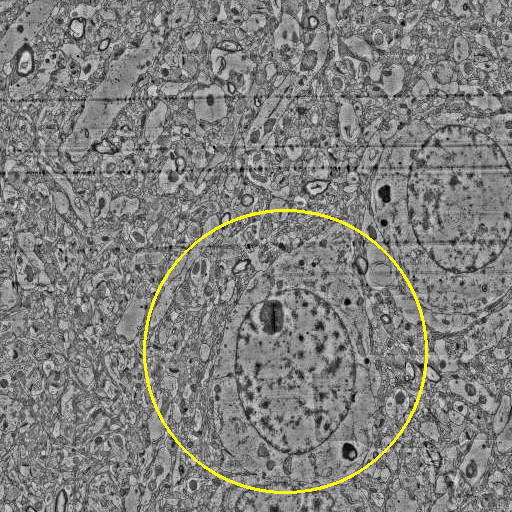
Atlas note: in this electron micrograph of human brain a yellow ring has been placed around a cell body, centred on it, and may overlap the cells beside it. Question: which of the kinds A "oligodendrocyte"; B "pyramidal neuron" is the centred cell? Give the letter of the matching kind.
B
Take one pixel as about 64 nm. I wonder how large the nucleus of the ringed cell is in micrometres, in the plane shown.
In this plane, approximately 10 by 8 micrometers.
